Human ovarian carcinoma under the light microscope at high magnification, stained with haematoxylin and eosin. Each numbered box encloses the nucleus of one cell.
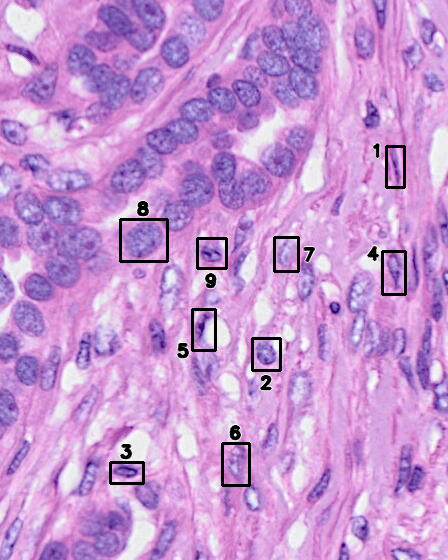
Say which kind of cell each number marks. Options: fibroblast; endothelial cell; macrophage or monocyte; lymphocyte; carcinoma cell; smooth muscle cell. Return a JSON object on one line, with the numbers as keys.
{"1": "fibroblast", "2": "macrophage or monocyte", "3": "macrophage or monocyte", "4": "fibroblast", "5": "fibroblast", "6": "fibroblast", "7": "fibroblast", "8": "carcinoma cell", "9": "macrophage or monocyte"}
